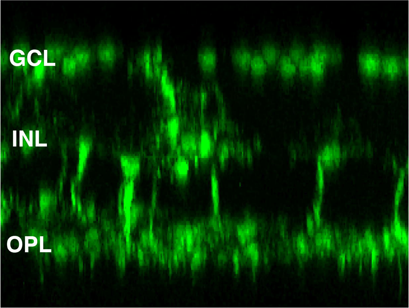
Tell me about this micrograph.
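This is a side view through the thickness of the retina, with green cells lying in three horizontal layers. The top layer holds a row of rounded cell bodies, the middle layer is looser, and the bottom layer is the thickest and densest band. Elongated green profiles run vertically between the layers, linking them.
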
